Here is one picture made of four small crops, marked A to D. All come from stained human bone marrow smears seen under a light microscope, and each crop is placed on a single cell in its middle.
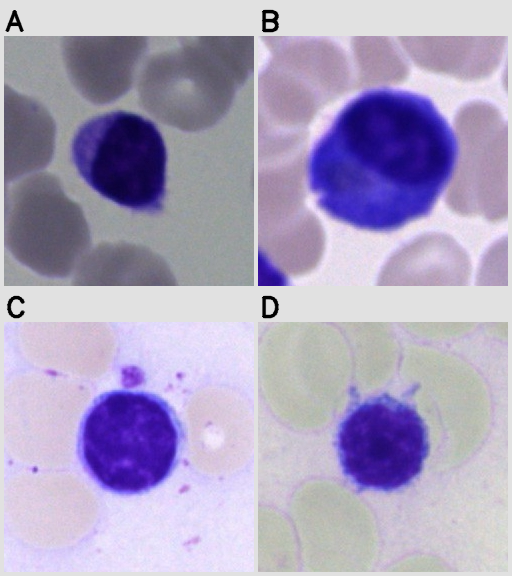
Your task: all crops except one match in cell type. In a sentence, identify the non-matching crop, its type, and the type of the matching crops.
Crop B alone shows a plasma cell; the other crops are all lymphocytes.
